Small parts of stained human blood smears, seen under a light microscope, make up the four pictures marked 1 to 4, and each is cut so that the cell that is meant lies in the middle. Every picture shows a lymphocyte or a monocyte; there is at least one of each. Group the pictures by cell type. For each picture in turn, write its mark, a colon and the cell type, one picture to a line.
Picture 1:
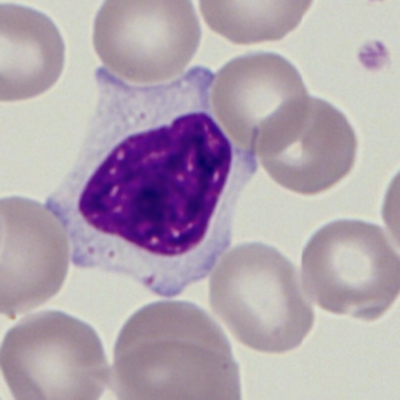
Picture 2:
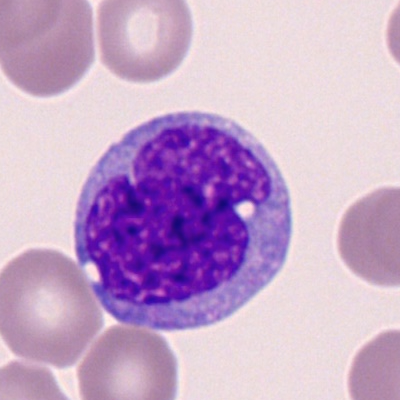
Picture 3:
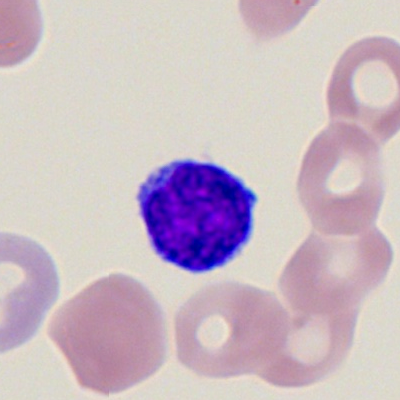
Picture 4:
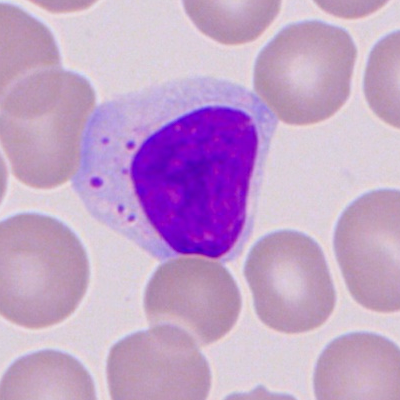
1: lymphocyte
2: monocyte
3: lymphocyte
4: lymphocyte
